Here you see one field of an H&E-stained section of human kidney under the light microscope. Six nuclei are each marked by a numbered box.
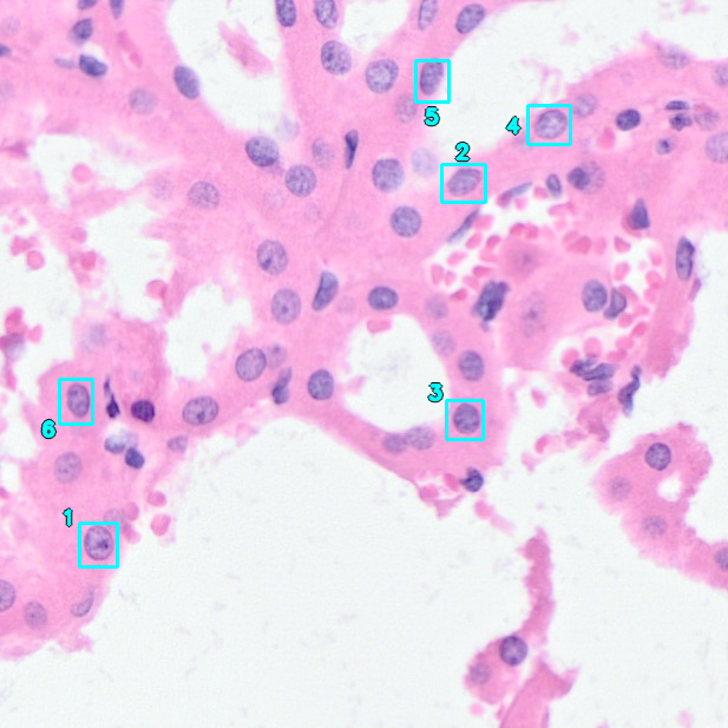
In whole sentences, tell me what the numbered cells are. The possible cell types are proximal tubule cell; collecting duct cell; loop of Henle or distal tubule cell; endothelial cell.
Cell 1 is a proximal tubule cell, cell 2 is a loop of Henle or distal tubule cell, cell 3 is a loop of Henle or distal tubule cell, cell 4 is a loop of Henle or distal tubule cell, cell 5 is a loop of Henle or distal tubule cell and cell 6 is a proximal tubule cell.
